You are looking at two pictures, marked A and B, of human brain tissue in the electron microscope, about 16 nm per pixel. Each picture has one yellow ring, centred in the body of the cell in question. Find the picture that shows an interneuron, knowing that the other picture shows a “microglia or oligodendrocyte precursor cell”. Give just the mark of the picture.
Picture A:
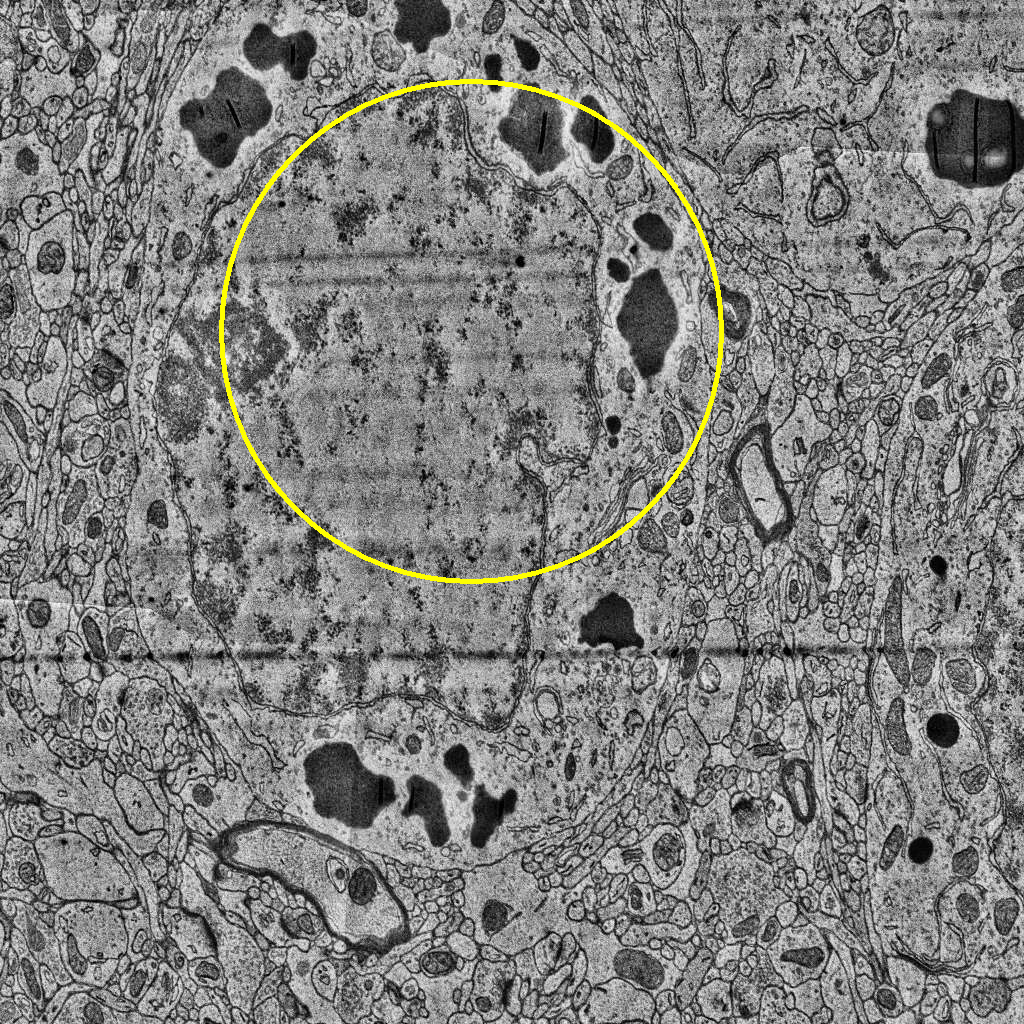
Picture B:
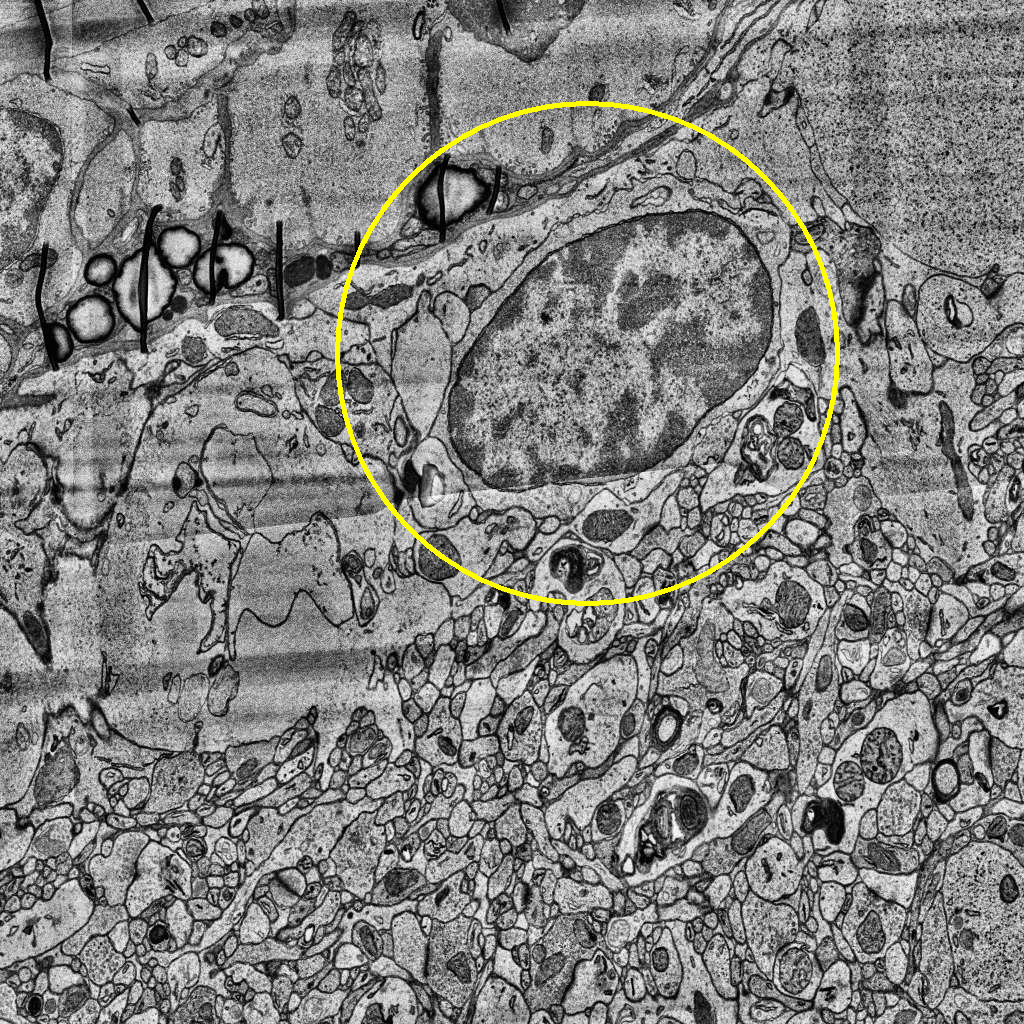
A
